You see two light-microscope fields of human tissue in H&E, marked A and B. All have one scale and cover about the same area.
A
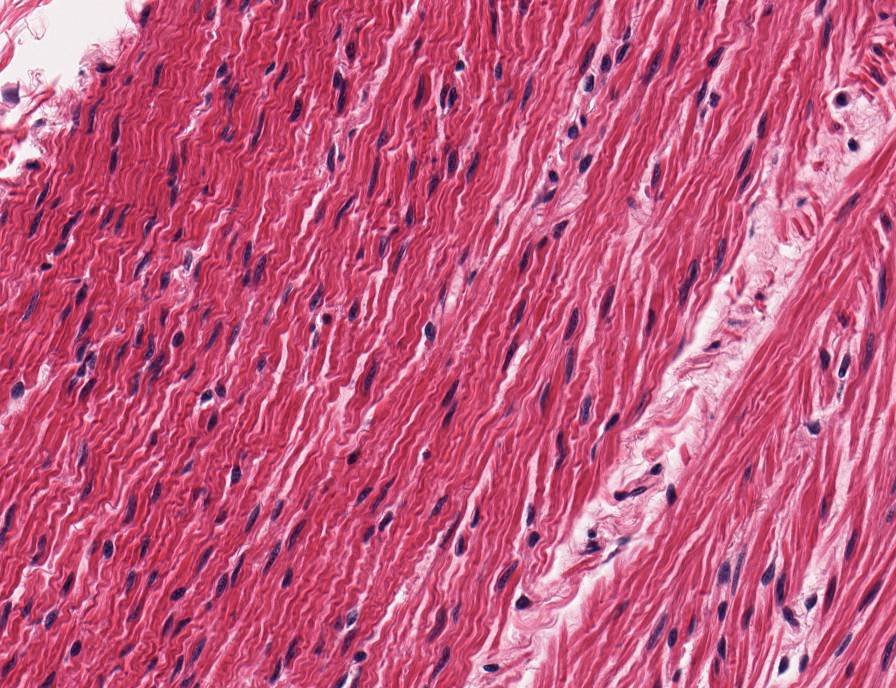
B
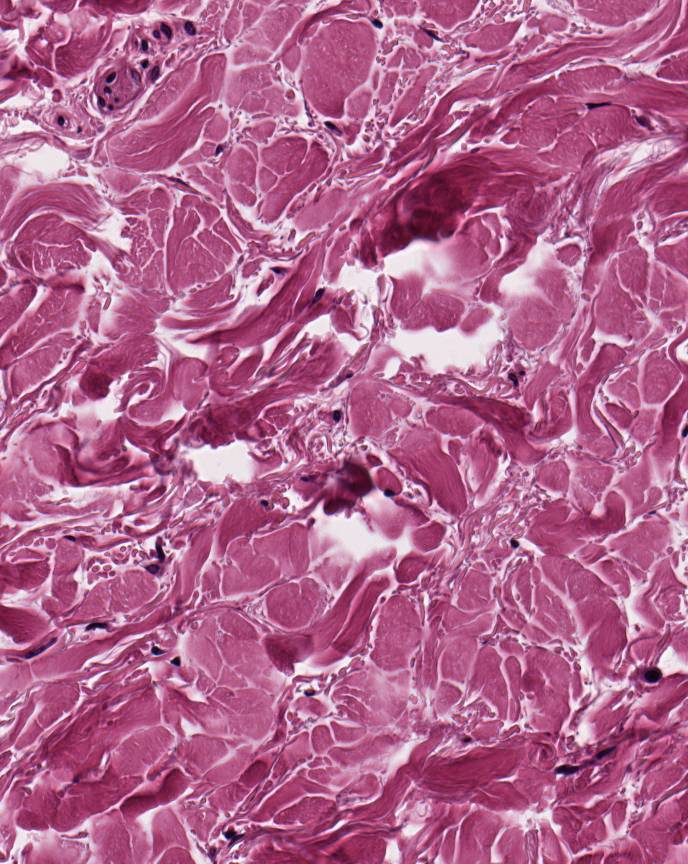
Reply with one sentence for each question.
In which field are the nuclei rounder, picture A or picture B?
Rounder nuclei lie in picture B.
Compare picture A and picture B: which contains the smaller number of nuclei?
There are fewer nuclei in picture B.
